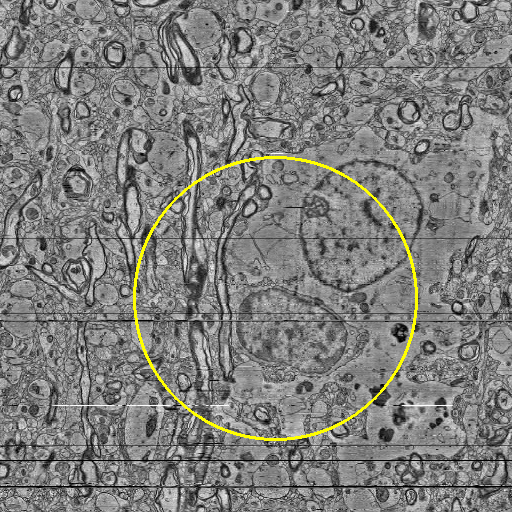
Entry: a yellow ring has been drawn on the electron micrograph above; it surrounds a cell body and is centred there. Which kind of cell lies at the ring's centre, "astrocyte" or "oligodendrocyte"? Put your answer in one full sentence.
The cell sitting at the ring's centre is an oligodendrocyte in the micrograph above.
